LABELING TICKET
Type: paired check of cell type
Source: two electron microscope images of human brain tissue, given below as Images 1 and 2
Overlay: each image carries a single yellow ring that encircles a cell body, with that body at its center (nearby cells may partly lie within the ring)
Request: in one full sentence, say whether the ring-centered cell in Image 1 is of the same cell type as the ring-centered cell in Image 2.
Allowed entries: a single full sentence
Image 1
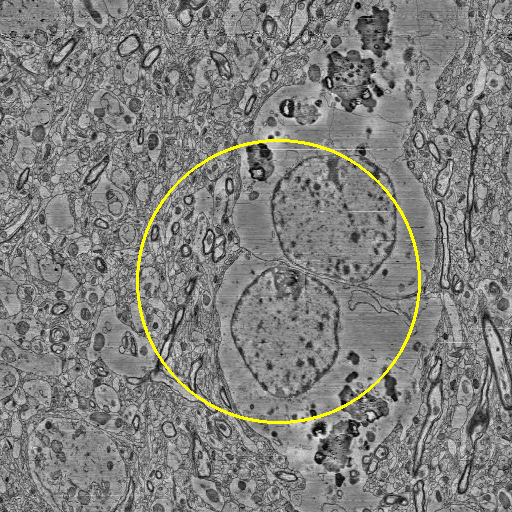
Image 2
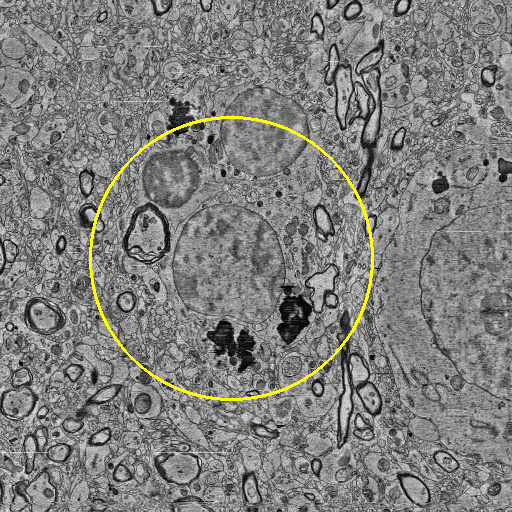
No, the cells centered in the rings of Image 1 and Image 2 are of two types.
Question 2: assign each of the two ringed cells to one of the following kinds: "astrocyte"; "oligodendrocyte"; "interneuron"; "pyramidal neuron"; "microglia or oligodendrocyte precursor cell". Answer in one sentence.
The two cells are an astrocyte in the first picture and an oligodendrocyte in the second.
